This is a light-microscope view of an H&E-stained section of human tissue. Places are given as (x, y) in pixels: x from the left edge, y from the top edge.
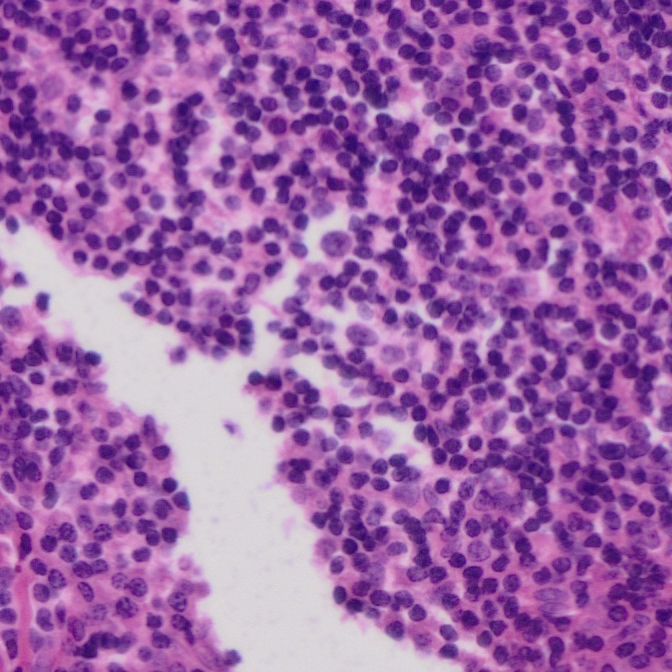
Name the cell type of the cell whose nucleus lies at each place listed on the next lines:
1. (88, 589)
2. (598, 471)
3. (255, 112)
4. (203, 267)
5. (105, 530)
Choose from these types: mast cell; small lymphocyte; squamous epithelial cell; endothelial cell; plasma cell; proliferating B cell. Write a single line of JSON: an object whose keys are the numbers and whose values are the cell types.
{"1": "plasma cell", "2": "small lymphocyte", "3": "small lymphocyte", "4": "small lymphocyte", "5": "plasma cell"}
